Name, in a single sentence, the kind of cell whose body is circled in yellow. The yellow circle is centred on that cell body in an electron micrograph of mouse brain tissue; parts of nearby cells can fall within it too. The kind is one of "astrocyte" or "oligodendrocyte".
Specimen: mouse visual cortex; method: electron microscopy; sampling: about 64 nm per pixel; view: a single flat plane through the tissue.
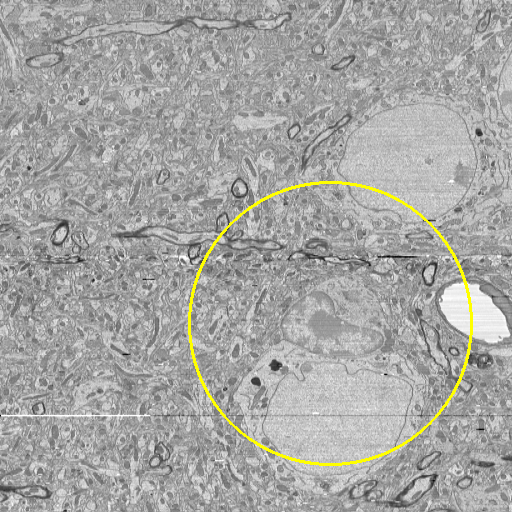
The circled cell body belongs to an oligodendrocyte.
